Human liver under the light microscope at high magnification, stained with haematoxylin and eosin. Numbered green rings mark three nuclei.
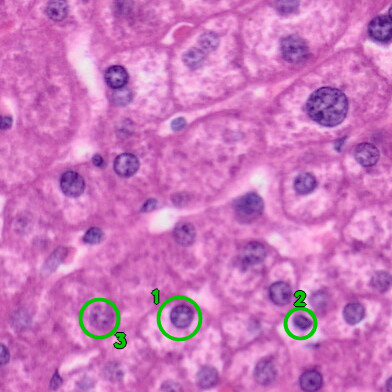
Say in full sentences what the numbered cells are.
Cells 1 and 3 are hepatocytes. Cell 2 is a Kupffer cell.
